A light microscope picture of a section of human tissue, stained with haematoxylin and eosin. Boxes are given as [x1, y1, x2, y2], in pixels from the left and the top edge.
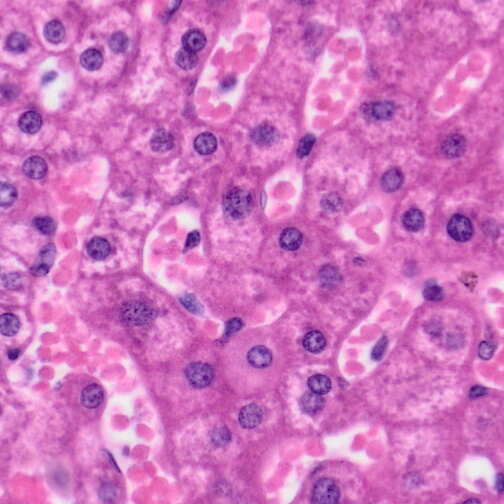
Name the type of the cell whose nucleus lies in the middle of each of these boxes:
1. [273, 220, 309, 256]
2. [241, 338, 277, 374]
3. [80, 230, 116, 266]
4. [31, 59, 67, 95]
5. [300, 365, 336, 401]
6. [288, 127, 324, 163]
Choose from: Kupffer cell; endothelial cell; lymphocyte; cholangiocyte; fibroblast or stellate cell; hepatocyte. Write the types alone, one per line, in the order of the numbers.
hepatocyte
hepatocyte
hepatocyte
lymphocyte
hepatocyte
fibroblast or stellate cell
